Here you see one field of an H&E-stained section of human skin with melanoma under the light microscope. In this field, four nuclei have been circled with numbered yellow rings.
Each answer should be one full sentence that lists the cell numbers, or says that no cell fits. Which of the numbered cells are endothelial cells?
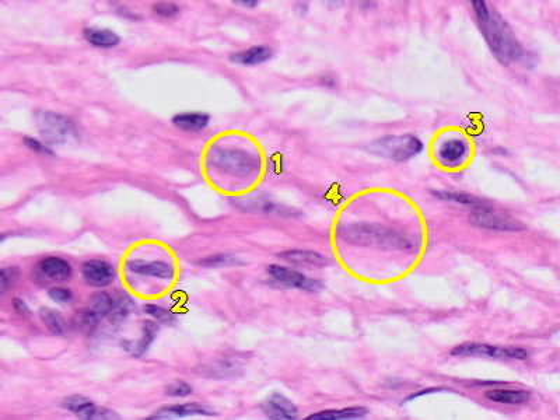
The cells whose nuclei carry numbers are not endothelial cells.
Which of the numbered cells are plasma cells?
Of the cells marked with numbers, cell 3 is the only one that is a plasma cell.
